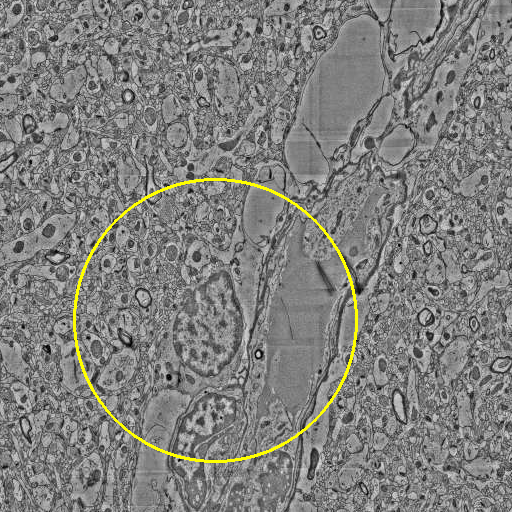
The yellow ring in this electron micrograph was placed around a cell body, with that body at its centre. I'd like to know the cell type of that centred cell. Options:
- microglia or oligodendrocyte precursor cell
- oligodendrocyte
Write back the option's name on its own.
oligodendrocyte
